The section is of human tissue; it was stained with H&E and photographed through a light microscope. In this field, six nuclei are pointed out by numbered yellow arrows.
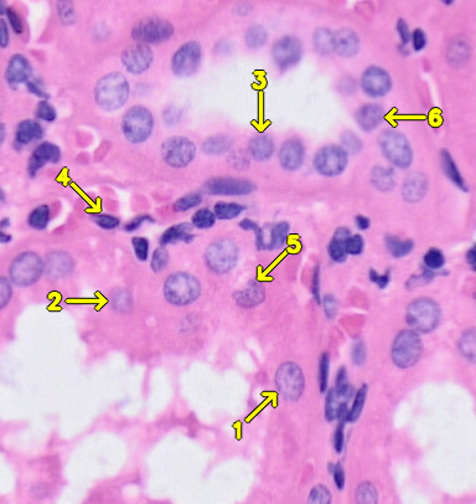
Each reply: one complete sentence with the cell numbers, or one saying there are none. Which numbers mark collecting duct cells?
The cells 3 and 6 in this section are collecting duct cells.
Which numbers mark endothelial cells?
In short, cell 4 is an endothelial cell; the others are not.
